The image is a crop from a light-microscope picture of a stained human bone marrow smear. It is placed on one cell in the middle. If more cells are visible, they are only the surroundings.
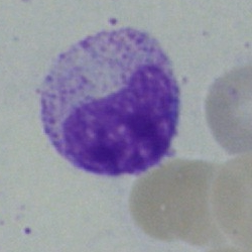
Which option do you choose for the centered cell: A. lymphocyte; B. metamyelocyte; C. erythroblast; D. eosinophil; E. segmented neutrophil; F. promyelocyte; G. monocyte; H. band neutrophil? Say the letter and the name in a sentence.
Answer key: option B, the middle cell being a metamyelocyte.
